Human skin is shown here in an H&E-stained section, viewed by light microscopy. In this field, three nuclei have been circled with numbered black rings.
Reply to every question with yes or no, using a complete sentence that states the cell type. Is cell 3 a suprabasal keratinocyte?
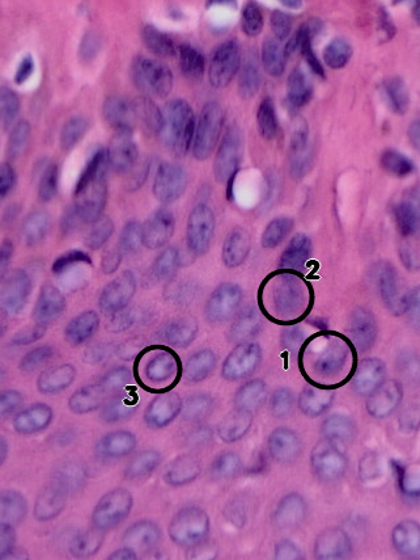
Yes, so the cell at label 3 is a suprabasal keratinocyte.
